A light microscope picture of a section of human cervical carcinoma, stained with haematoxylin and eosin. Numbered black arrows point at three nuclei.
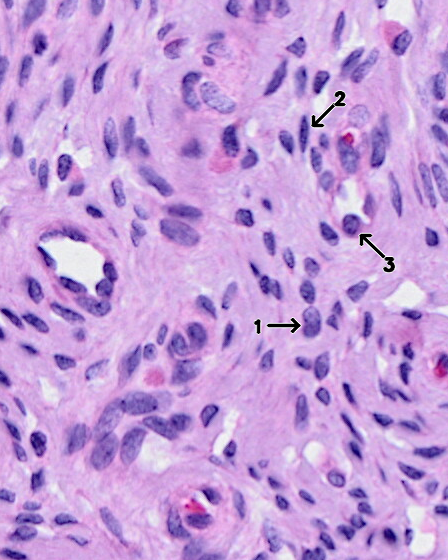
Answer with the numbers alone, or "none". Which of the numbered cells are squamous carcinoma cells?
none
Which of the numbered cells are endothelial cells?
3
